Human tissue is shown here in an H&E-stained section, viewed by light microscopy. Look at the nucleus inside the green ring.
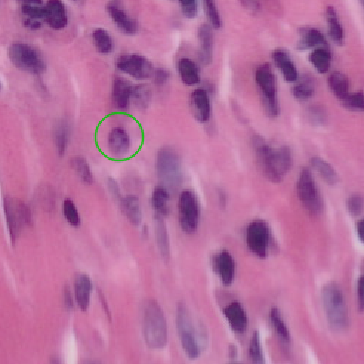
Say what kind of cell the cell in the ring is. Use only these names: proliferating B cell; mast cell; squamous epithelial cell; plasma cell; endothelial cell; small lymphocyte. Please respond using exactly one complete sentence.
As to its cell type, the cell in the ring is a mast cell.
